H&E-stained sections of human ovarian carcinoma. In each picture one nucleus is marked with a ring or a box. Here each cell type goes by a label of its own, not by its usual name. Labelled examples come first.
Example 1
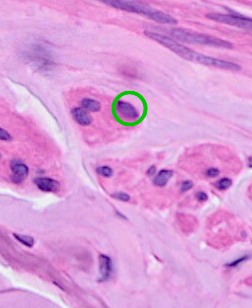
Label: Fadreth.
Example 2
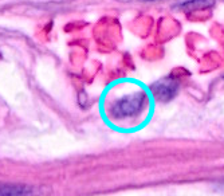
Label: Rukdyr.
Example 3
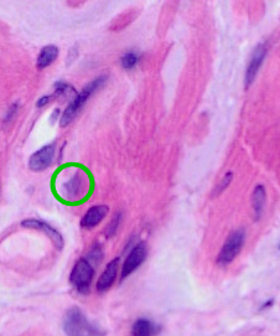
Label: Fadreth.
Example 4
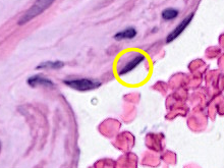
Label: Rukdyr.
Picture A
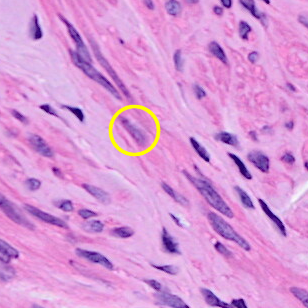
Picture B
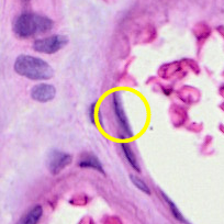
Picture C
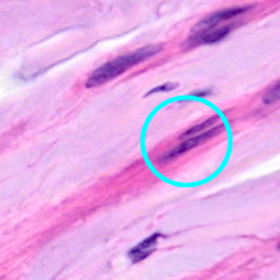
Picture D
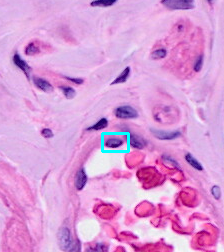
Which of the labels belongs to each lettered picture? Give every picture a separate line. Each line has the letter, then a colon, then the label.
A: Fadreth.
B: Rukdyr.
C: Fadreth.
D: Rukdyr.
